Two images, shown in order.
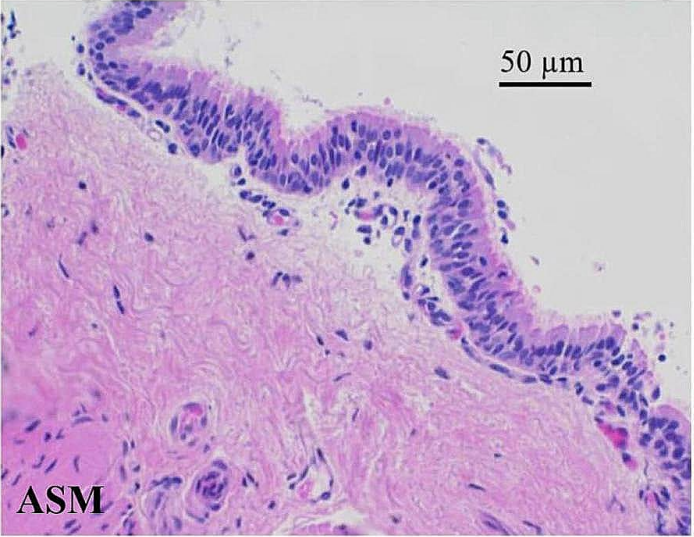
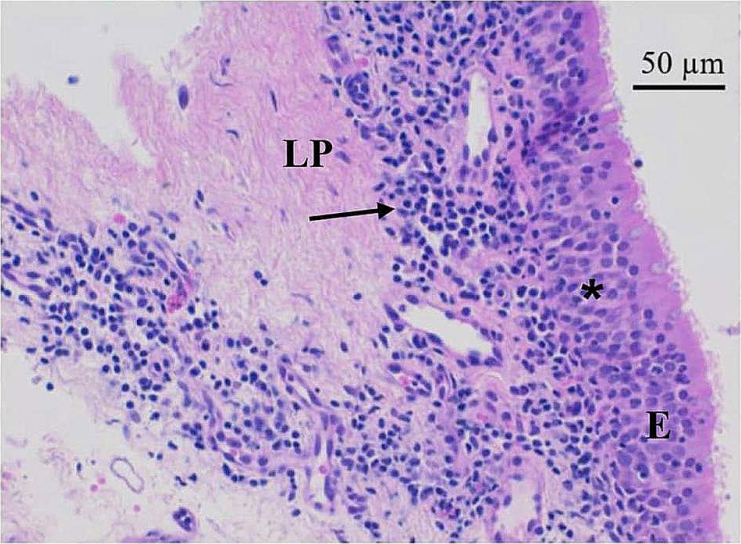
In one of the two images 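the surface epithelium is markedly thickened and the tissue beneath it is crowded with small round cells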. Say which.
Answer: The second image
